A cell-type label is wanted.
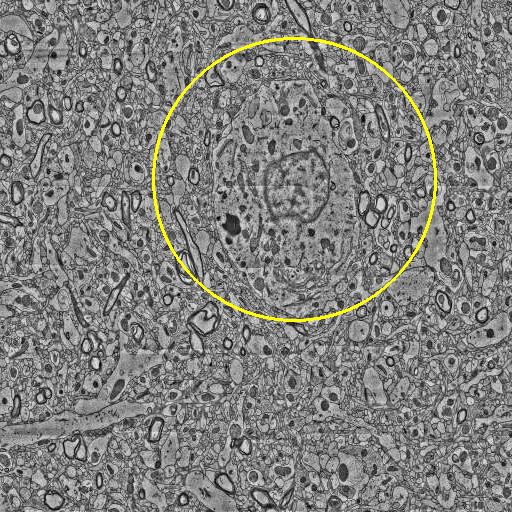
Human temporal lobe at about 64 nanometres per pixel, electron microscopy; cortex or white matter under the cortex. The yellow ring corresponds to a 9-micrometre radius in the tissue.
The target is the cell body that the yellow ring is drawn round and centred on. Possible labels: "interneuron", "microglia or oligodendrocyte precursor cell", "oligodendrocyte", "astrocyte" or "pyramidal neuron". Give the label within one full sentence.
Of the labels offered, the cell in the middle of the yellow ring is an interneuron.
